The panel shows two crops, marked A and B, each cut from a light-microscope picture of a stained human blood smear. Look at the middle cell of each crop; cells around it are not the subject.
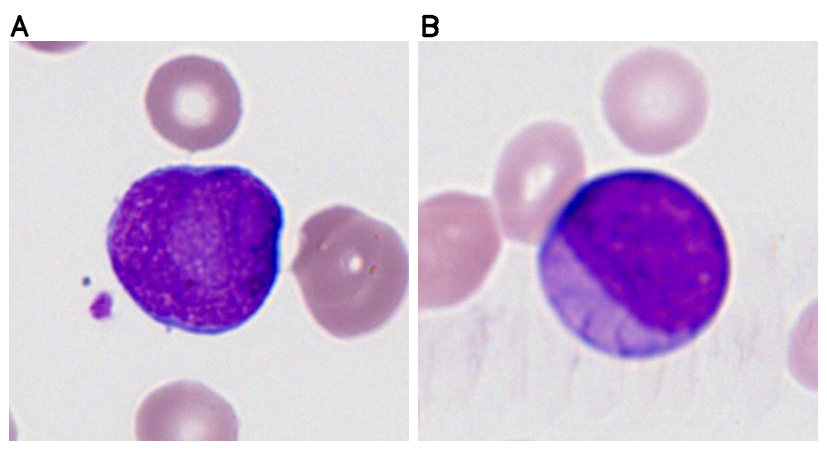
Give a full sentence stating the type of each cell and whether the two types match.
Yes, as shown in both crops, the central cells are myeloblasts.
